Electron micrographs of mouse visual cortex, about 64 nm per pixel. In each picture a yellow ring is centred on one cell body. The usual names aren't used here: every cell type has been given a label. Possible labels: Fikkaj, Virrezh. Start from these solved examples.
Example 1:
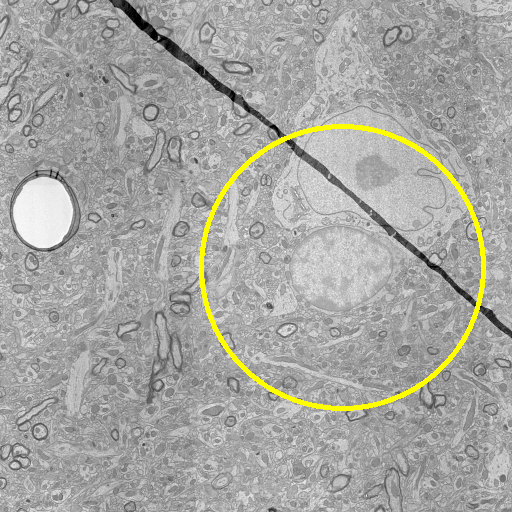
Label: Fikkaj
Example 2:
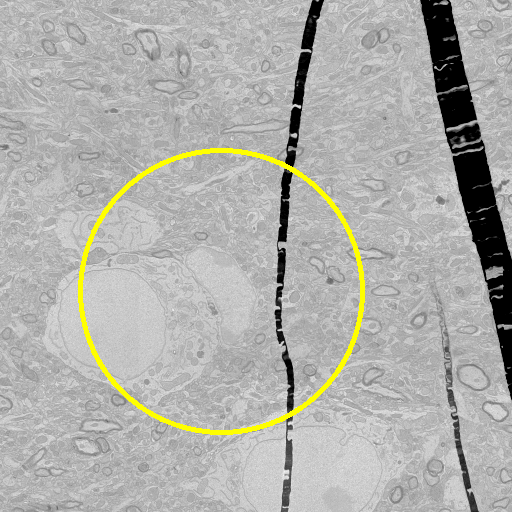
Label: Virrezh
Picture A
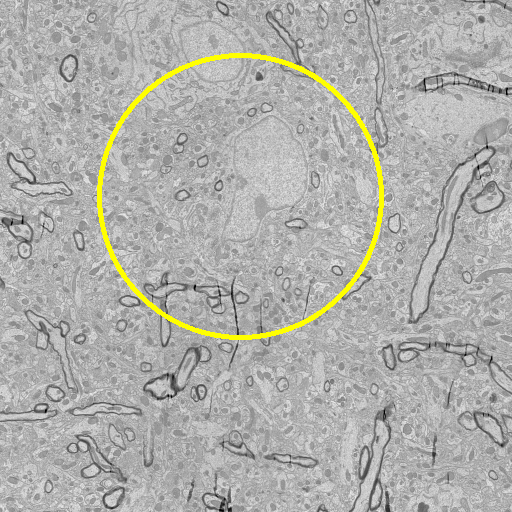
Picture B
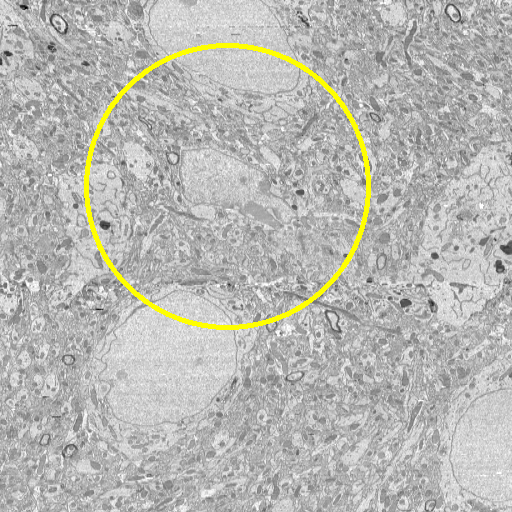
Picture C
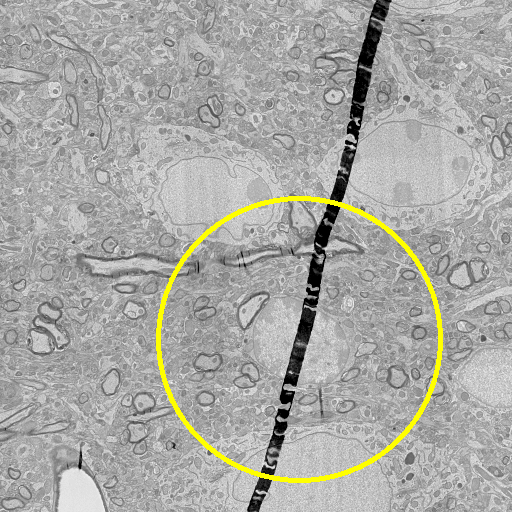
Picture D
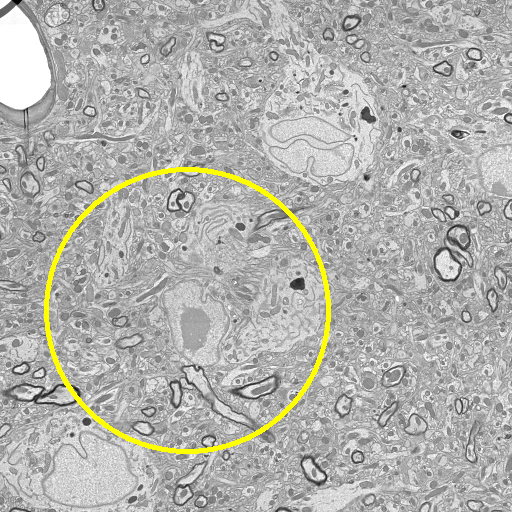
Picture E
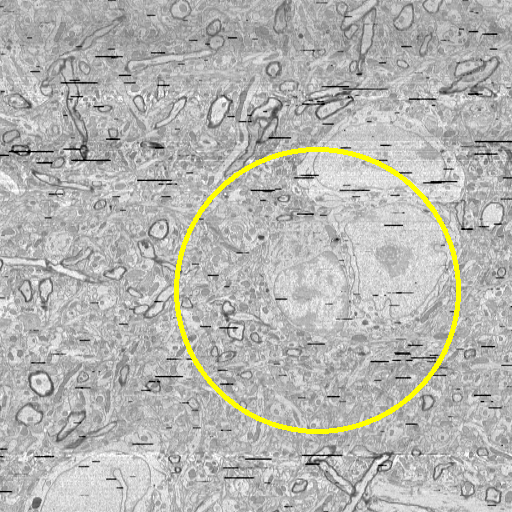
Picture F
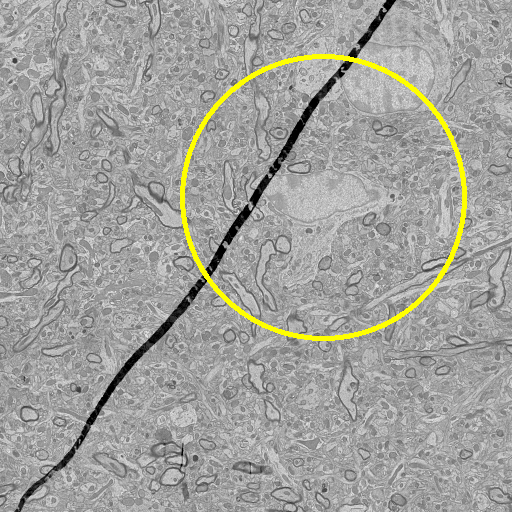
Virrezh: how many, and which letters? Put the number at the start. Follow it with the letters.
4: A, B, D, F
